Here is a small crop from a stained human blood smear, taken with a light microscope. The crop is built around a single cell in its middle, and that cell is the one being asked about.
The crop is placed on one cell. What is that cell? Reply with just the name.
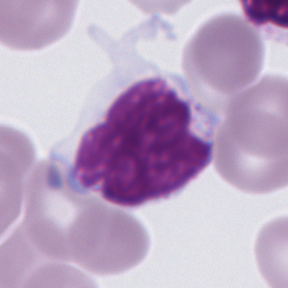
large granular lymphocyte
